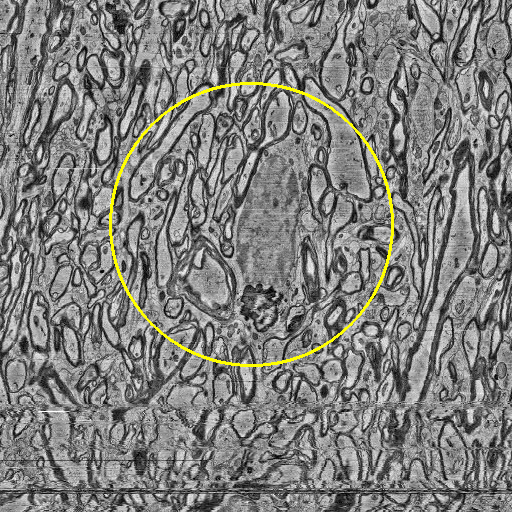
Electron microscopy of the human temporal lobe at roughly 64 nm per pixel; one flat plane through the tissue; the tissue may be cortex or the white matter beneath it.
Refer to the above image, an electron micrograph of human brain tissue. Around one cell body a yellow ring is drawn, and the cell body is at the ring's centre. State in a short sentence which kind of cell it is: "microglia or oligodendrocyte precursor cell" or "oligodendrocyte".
The centre of the ring falls on an oligodendrocyte.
